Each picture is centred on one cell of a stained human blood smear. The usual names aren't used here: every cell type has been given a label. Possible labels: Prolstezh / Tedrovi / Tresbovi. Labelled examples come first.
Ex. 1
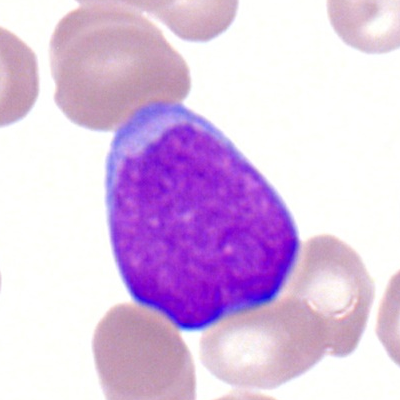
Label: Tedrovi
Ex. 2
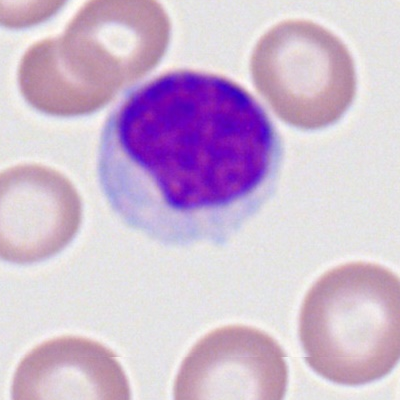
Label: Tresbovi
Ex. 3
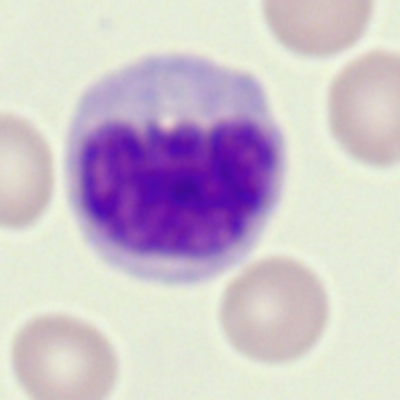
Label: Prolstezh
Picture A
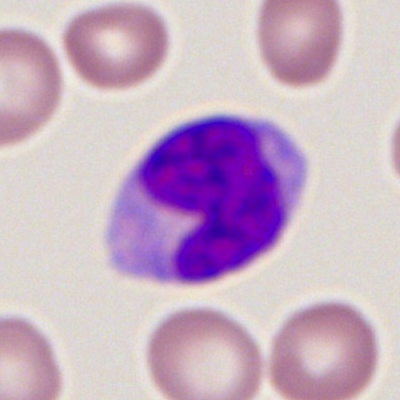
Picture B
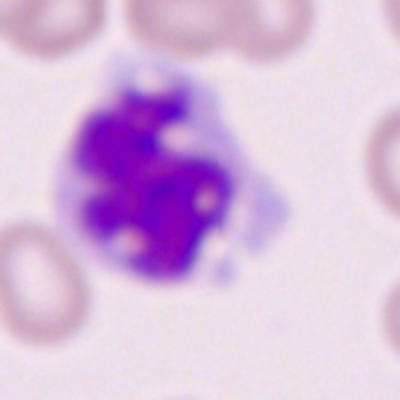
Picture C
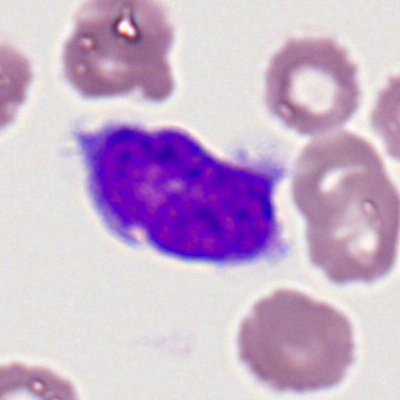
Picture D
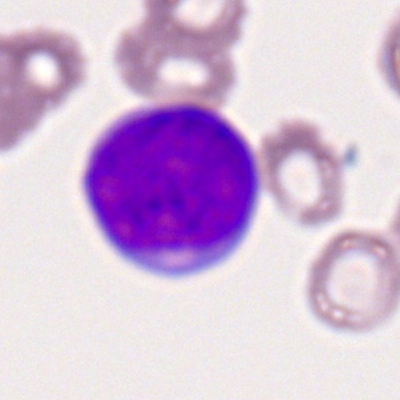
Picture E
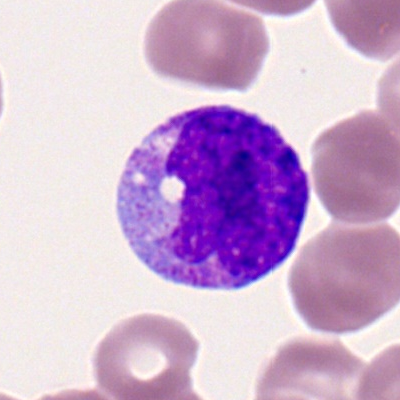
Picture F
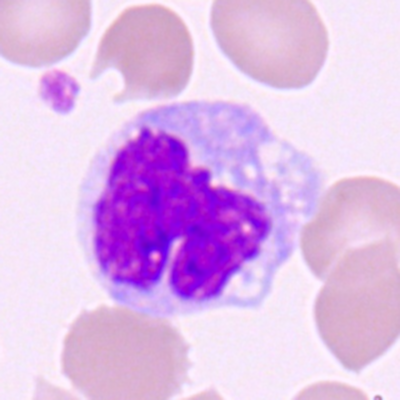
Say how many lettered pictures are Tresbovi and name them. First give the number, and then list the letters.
0, none of them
